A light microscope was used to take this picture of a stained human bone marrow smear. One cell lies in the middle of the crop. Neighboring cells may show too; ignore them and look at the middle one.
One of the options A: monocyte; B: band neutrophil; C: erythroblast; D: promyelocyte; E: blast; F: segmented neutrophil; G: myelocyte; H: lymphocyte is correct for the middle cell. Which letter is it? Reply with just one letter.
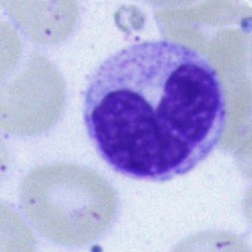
B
